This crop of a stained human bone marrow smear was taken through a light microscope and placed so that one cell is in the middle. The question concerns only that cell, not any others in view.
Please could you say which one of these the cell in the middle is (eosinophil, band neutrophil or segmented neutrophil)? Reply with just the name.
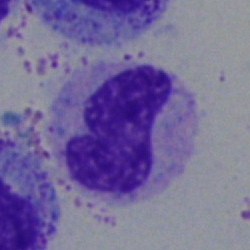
band neutrophil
